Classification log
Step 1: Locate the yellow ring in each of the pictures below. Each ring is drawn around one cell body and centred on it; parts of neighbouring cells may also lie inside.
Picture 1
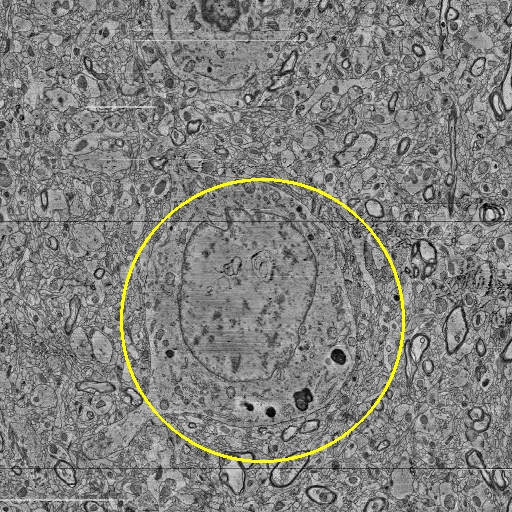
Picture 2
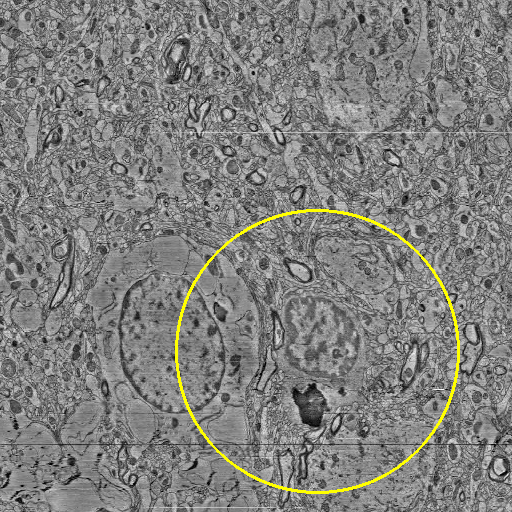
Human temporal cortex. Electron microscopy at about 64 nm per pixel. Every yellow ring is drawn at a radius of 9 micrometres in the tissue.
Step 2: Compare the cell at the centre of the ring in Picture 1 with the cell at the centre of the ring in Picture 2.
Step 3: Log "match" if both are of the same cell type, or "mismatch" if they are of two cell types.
mismatch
